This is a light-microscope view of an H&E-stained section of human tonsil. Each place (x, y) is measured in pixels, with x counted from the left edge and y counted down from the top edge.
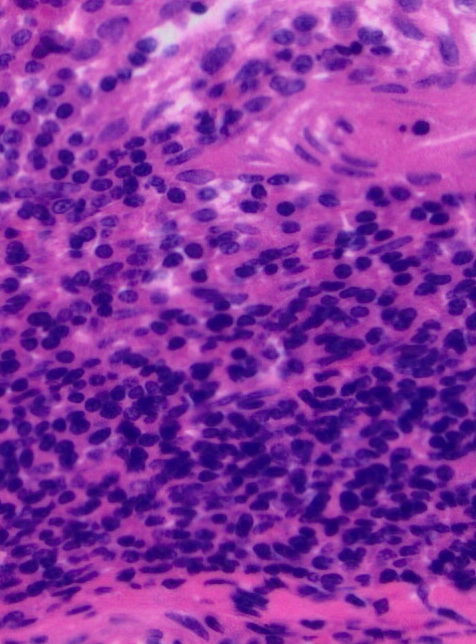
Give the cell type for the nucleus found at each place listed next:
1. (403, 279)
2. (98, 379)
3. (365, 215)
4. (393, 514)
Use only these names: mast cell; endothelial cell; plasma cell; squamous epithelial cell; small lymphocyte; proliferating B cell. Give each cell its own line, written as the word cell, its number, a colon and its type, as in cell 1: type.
cell 1: plasma cell
cell 2: plasma cell
cell 3: plasma cell
cell 4: small lymphocyte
